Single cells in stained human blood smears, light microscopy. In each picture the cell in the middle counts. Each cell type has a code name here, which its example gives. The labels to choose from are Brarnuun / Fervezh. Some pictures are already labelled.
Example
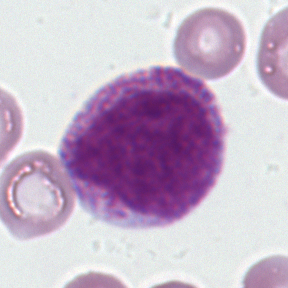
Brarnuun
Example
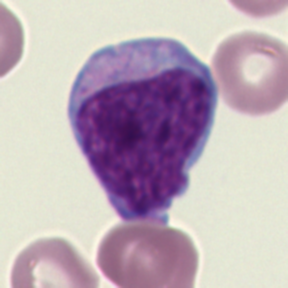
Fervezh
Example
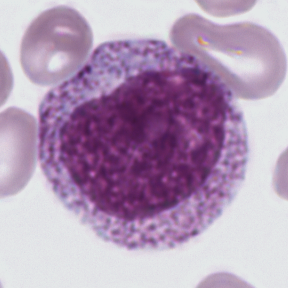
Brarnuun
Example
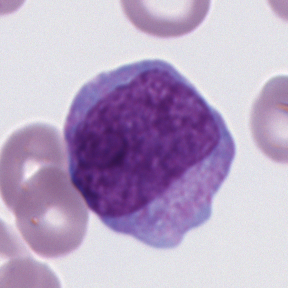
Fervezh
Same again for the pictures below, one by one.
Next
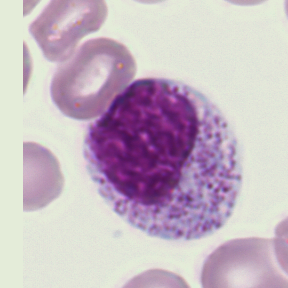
Brarnuun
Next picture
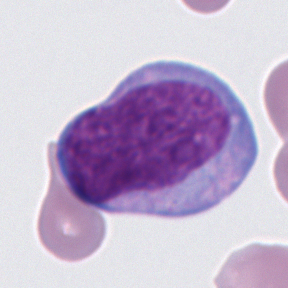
Fervezh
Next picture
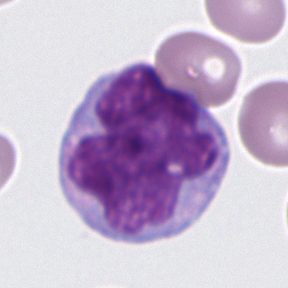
Fervezh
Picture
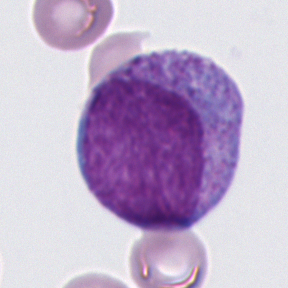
Fervezh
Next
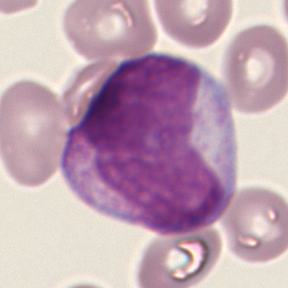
Fervezh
